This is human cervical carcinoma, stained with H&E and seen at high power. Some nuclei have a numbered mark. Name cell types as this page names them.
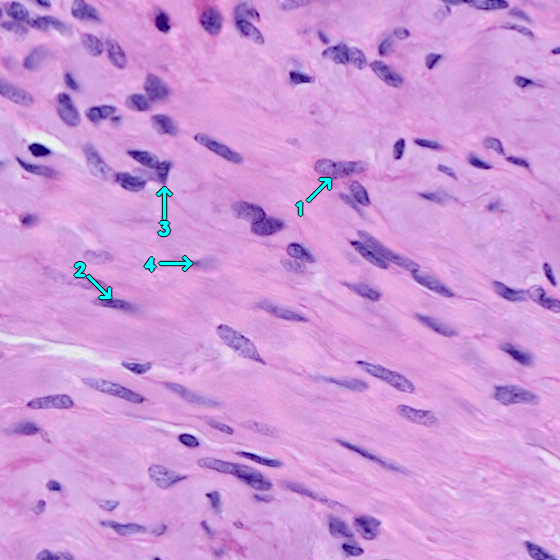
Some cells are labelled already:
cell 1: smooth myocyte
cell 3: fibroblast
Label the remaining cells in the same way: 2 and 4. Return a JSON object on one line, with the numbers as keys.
{"2": "fibroblast", "4": "fibroblast"}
